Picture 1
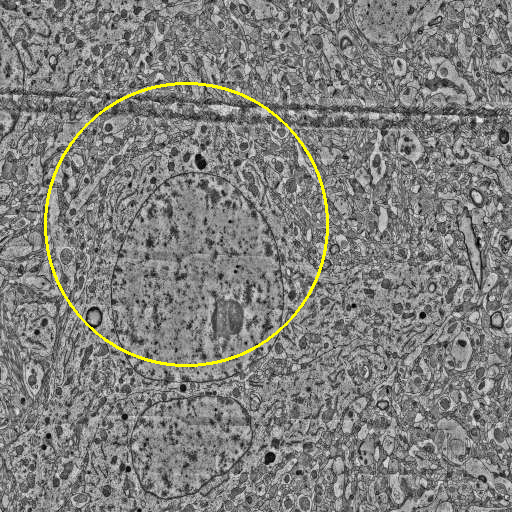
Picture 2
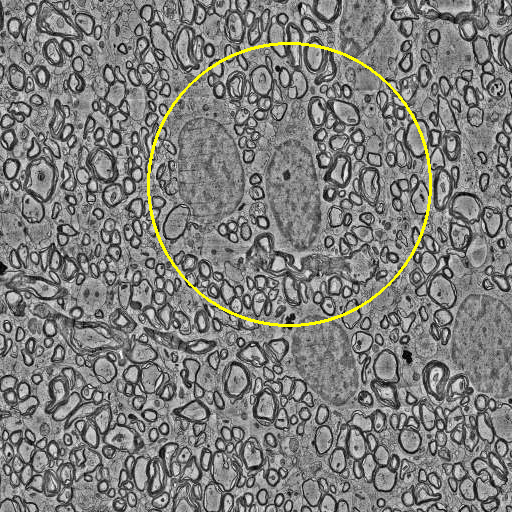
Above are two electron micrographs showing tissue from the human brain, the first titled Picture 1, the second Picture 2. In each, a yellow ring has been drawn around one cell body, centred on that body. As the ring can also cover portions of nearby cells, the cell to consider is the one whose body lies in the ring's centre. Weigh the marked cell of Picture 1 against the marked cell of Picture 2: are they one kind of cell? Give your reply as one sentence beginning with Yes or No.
No, the two cells sitting at the ring centres in the pictures are of two kinds.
